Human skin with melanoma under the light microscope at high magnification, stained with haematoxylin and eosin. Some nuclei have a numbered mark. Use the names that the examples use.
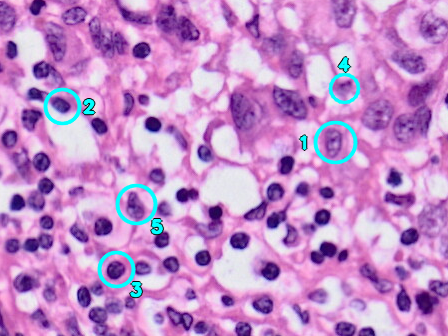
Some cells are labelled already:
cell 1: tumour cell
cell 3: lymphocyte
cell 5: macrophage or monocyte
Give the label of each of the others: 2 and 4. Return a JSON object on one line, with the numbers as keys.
{"2": "lymphocyte", "4": "tumour cell"}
